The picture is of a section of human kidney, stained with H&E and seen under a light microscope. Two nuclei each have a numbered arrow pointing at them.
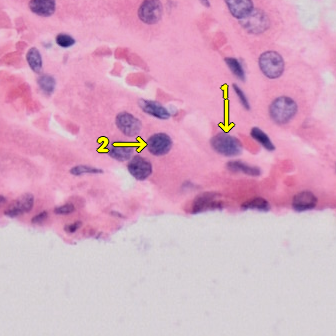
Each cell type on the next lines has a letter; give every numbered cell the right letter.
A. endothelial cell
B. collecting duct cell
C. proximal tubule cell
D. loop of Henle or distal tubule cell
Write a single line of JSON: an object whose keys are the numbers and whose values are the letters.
{"1": "A", "2": "D"}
